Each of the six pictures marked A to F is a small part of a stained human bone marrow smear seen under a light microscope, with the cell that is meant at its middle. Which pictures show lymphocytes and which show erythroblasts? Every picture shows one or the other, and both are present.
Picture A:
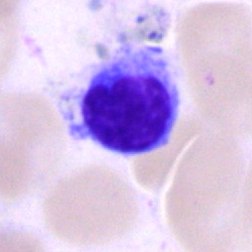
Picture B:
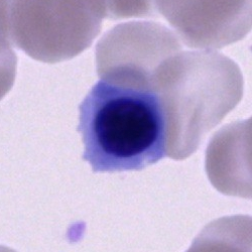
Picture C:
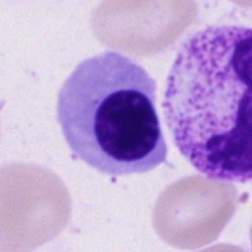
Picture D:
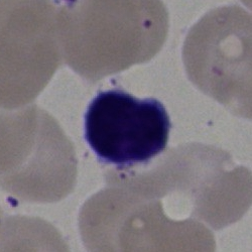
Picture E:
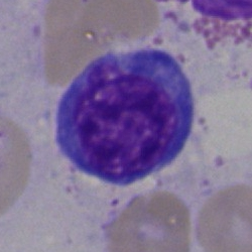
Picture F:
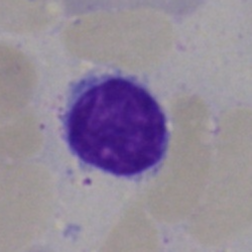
A: lymphocyte
B: erythroblast
C: erythroblast
D: lymphocyte
E: erythroblast
F: lymphocyte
